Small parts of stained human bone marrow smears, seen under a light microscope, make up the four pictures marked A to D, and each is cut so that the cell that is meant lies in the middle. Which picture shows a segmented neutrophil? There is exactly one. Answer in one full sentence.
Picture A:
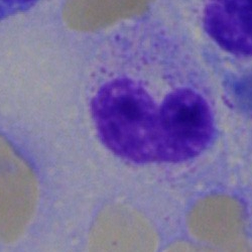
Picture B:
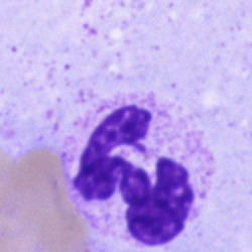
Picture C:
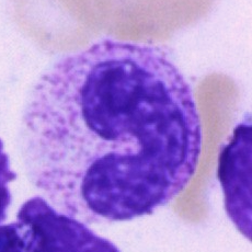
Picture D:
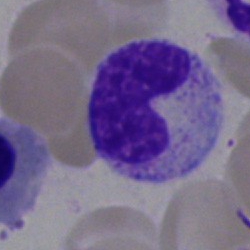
Picture B shows the segmented neutrophil.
